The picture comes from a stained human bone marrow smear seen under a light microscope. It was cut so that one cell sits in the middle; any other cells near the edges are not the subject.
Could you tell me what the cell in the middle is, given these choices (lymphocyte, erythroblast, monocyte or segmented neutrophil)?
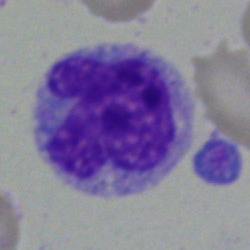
monocyte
